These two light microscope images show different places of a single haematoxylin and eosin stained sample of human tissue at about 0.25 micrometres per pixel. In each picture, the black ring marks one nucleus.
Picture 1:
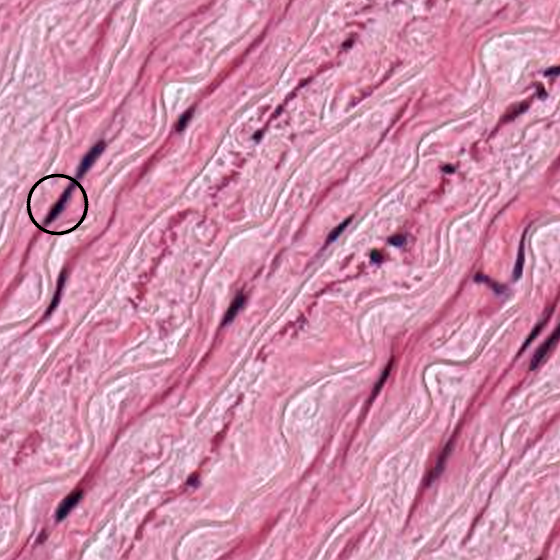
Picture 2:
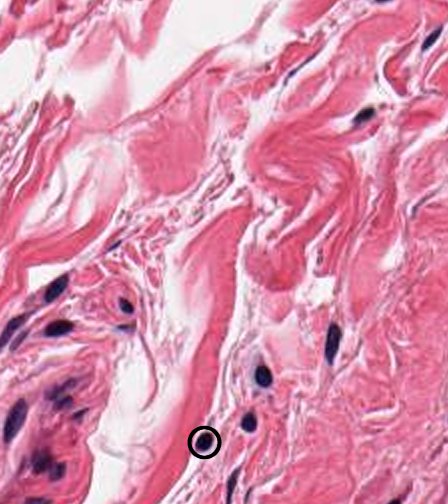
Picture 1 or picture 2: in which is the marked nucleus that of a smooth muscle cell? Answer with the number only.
1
